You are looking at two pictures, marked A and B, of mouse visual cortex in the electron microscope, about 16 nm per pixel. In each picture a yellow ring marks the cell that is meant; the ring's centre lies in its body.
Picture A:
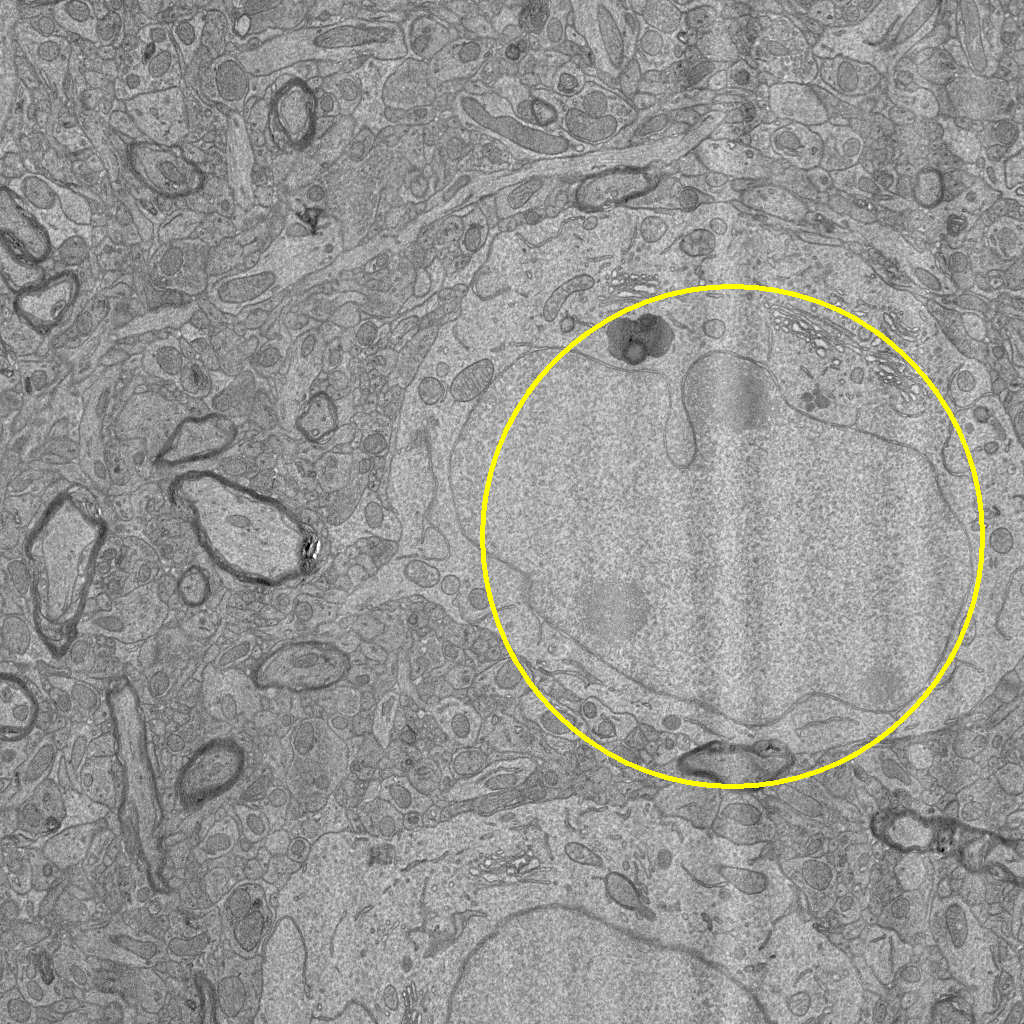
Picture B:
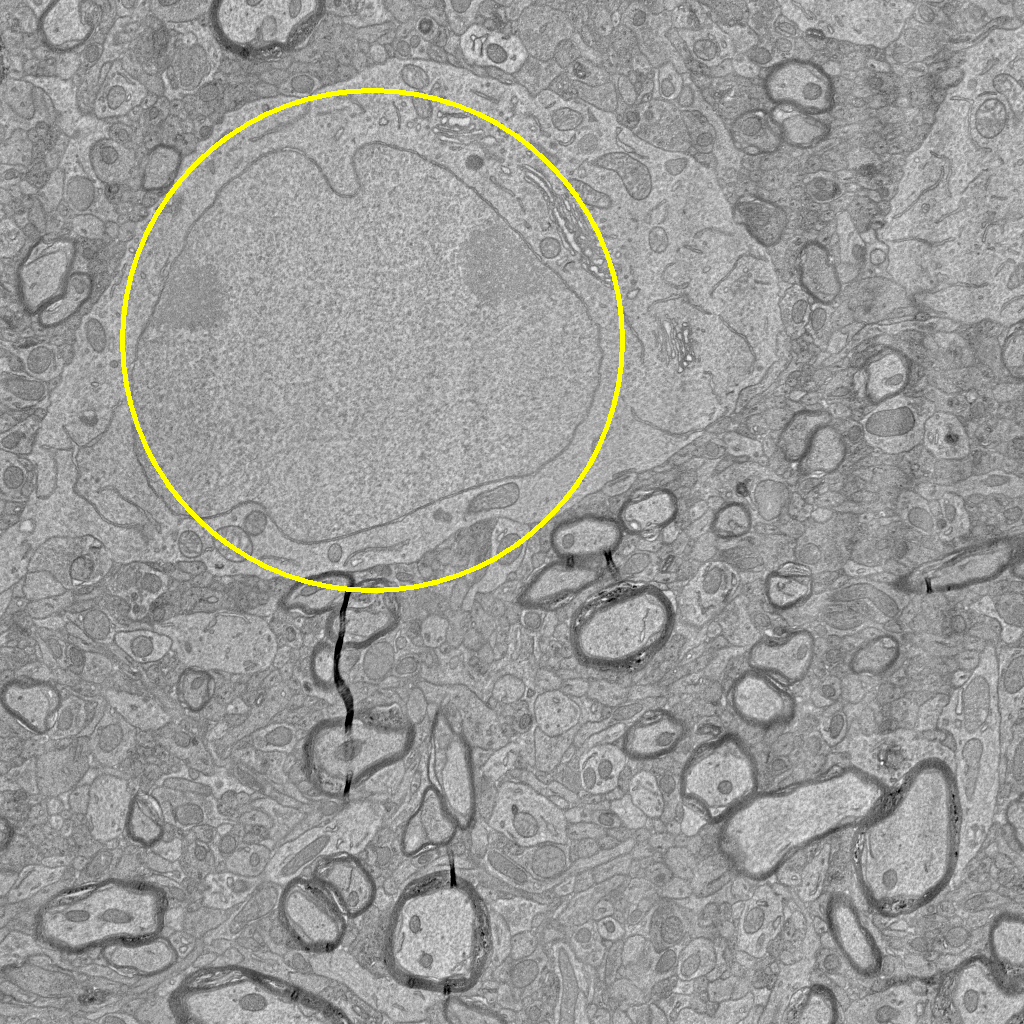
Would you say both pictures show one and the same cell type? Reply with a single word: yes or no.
yes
